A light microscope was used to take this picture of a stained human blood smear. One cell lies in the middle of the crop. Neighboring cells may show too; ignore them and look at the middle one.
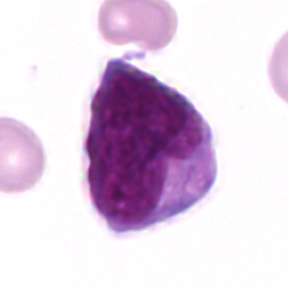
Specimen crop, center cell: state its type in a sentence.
The cell under consideration, at the middle of the crop, is an atypical promyelocyte.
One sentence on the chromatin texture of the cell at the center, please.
Just so you know, its chromatin is coarsely clumped.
